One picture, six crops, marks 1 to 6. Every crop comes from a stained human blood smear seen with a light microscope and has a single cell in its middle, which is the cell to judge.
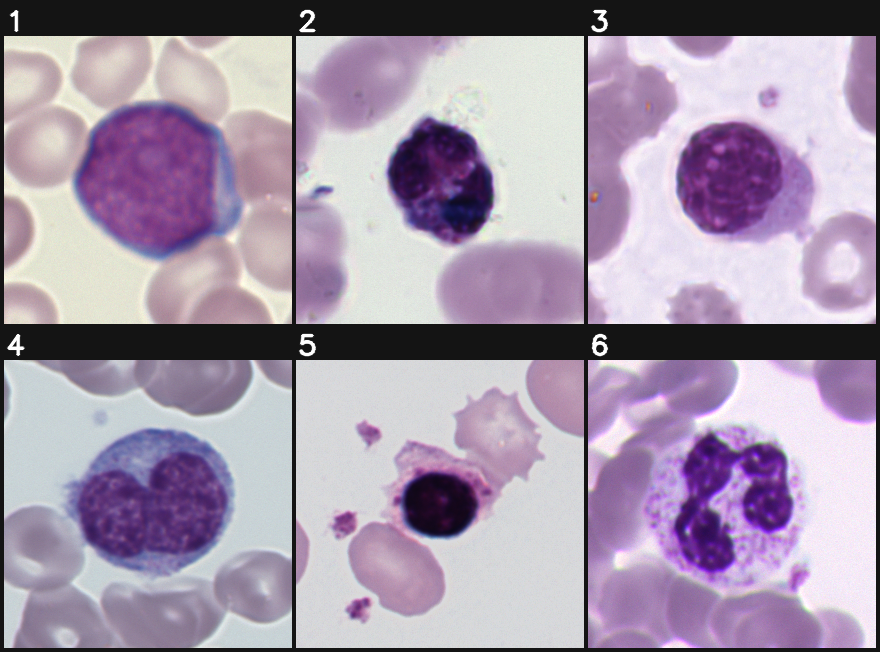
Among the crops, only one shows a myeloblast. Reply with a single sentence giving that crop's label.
Among all the crops given here, the one with a myeloblast is crop 1.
